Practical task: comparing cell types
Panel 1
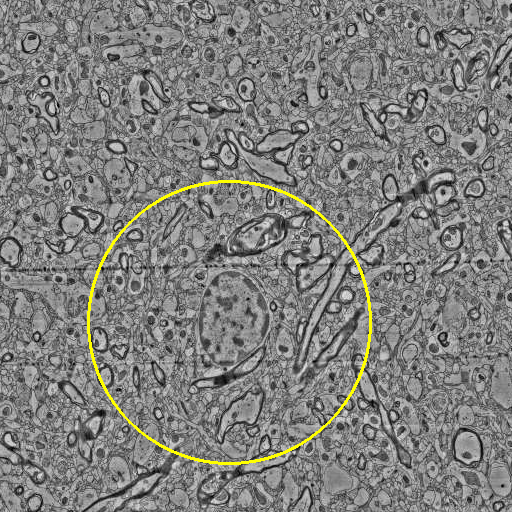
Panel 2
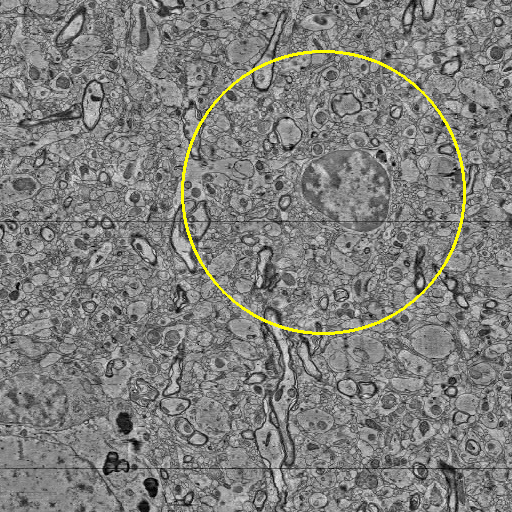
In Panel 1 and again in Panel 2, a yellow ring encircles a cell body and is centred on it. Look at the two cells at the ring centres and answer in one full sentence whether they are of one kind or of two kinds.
The two cells sitting at the ring centres of Panels 1 and 2 are of one kind.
